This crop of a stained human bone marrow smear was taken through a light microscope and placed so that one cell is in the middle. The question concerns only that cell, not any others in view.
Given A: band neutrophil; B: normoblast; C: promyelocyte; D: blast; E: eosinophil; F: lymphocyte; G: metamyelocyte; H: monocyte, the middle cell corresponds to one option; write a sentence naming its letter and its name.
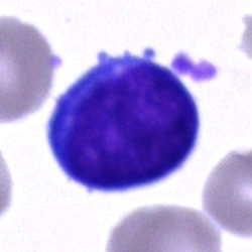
Option D is the keyed answer: the cell in the middle is a blast.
